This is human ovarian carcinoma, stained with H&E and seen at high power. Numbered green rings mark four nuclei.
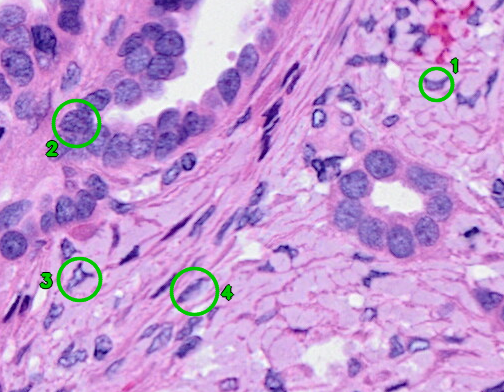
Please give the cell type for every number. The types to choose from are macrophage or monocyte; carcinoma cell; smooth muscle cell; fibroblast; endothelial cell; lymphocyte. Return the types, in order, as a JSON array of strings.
["fibroblast", "carcinoma cell", "fibroblast", "fibroblast"]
